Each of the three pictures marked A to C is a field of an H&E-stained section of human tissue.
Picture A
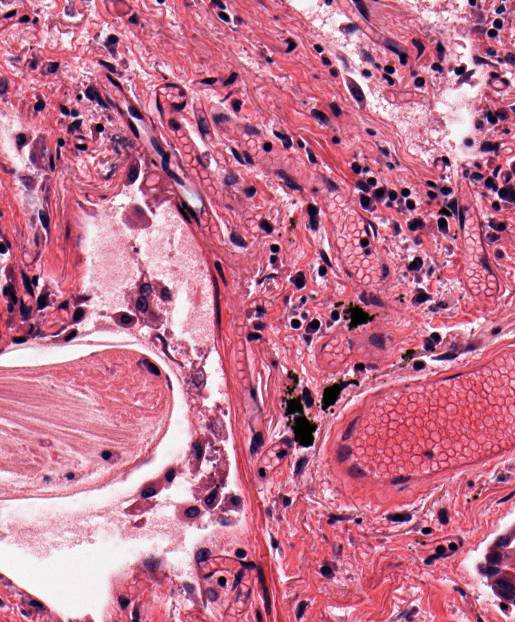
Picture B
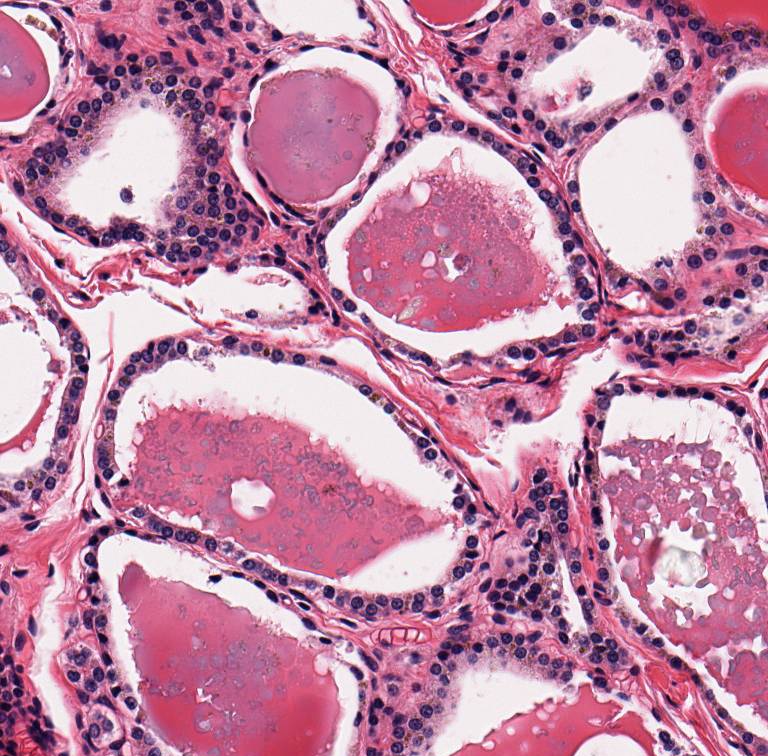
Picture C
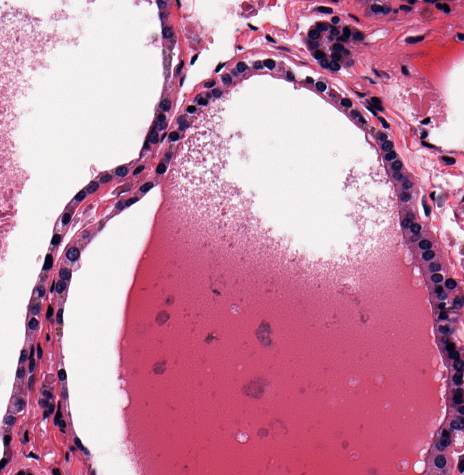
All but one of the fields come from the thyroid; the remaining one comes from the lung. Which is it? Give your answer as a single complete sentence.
Picture A comes from the lung.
